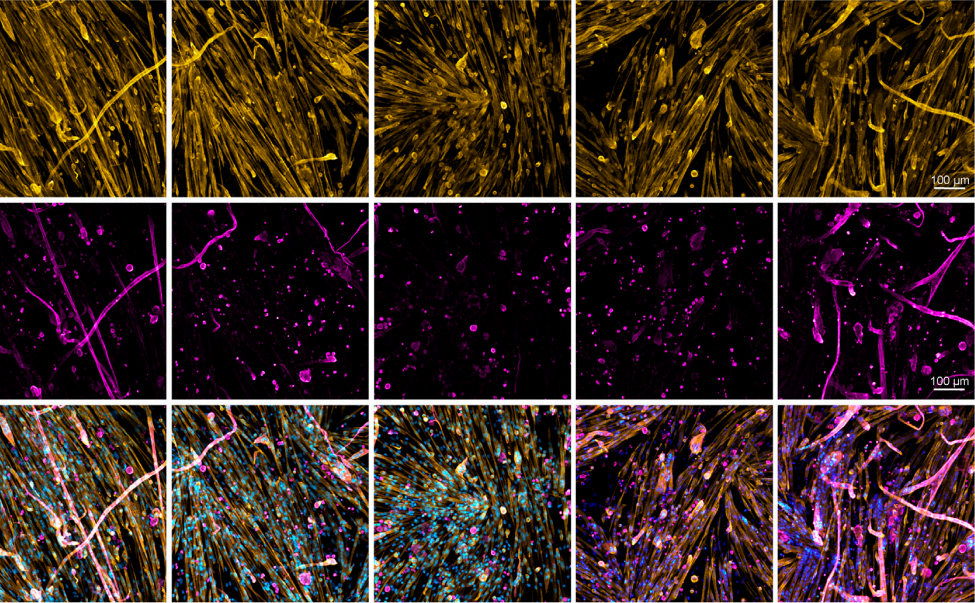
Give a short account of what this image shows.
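In the yellow fields, densely packed, elongated, spindle-shaped cells and fibres lie side by side in roughly parallel streams. The magenta fields show a scatter of small rounded bodies plus, in some fields, long, ribbon-like fibres crossing the image. In the merged images, many small oval blue nuclei lie along and between the yellow fibres, and the long magenta fibres stand out in pale pink to white where they overlap the yellow. The number of long magenta fibres differs between fields: some show several, others almost none, with only small rounded magenta bodies.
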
